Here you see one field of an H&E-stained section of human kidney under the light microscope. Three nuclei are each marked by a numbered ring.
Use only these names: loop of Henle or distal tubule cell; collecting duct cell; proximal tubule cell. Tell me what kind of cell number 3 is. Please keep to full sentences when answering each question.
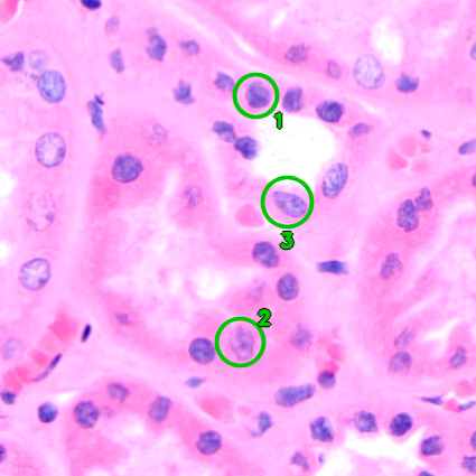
Regarding cell 3, this one is a loop of Henle or distal tubule cell.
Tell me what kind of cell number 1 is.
The correct answer for cell 1 is a loop of Henle or distal tubule cell.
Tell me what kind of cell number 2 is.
The cell numbered 2 represents a proximal tubule cell.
